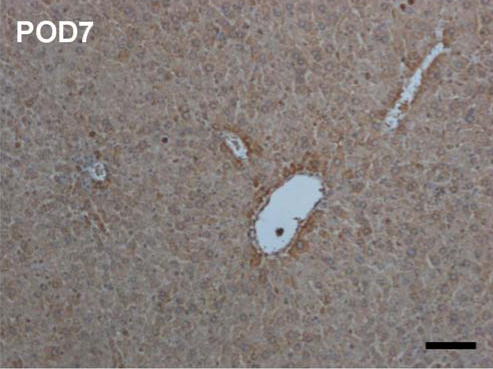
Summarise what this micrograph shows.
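Liver parenchyma of hepatocyte cords with round nuclei surrounds several vessels, one with a larger lumen. Diffuse light-brown cytoplasmic staining covers the hepatocytes, with a darker brown rim in the cells lining the vessel walls.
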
